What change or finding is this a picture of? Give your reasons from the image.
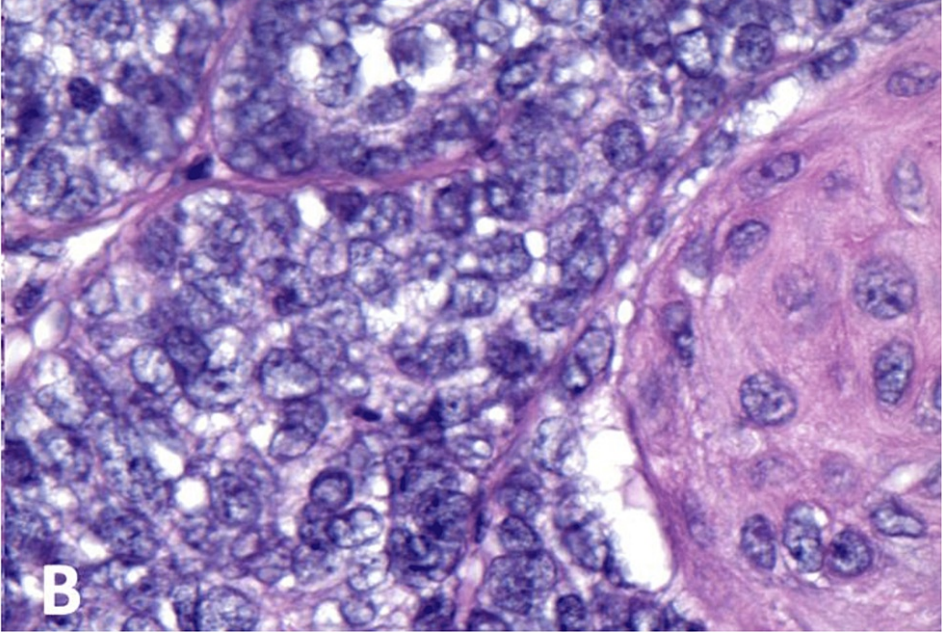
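Squamoid differentiation. On the right, cells have abundant pink cytoplasm. A thin band separates this pink nest from the crowded cells.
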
